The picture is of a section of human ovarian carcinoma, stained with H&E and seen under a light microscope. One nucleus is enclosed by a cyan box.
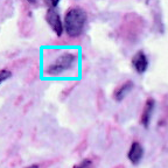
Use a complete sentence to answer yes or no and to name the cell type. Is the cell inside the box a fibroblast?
Yes, the cell inside the box is a fibroblast by cell type.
